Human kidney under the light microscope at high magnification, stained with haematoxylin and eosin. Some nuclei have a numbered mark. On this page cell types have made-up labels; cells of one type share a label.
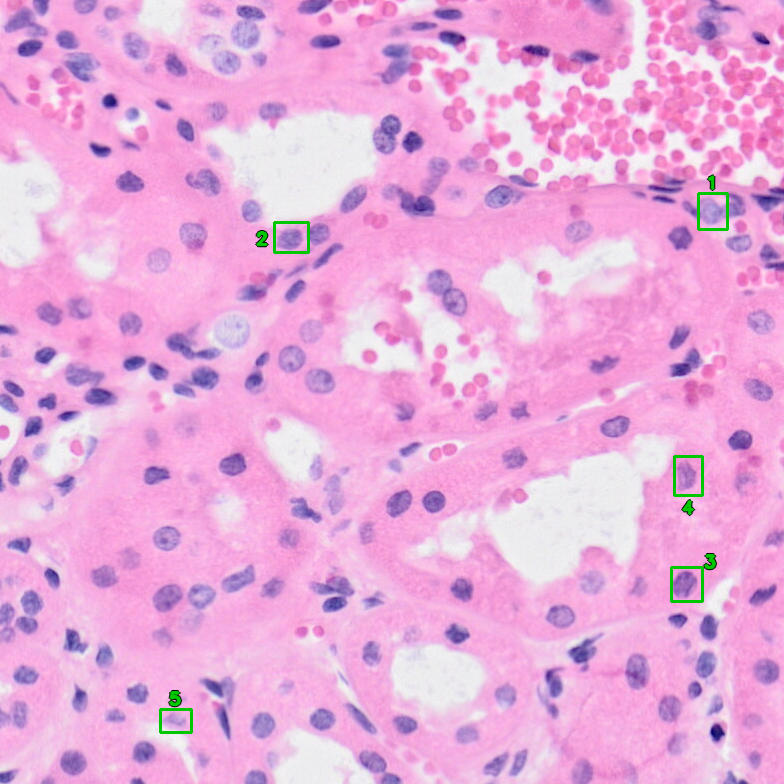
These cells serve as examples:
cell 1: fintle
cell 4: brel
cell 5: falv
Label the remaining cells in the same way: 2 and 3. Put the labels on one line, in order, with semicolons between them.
falv; brel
